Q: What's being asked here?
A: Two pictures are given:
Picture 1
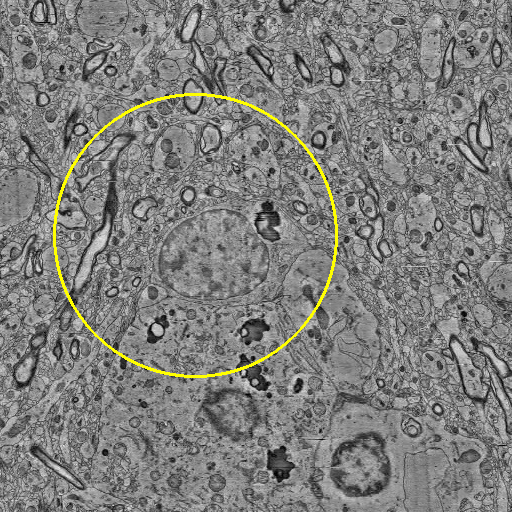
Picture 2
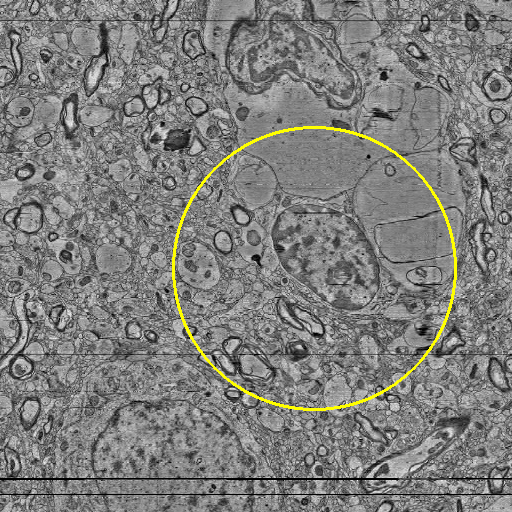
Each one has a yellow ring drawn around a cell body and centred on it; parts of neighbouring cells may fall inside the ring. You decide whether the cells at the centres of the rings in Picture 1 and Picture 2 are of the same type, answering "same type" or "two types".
two types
